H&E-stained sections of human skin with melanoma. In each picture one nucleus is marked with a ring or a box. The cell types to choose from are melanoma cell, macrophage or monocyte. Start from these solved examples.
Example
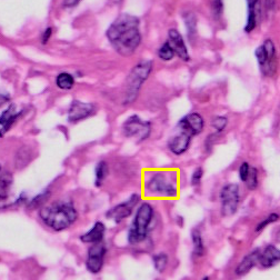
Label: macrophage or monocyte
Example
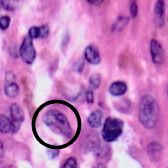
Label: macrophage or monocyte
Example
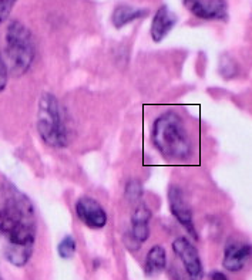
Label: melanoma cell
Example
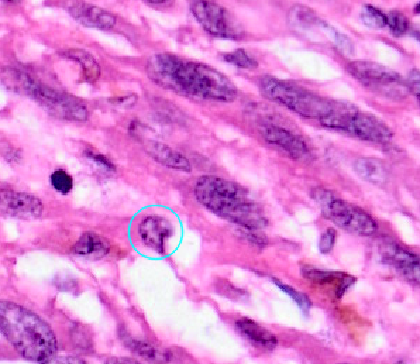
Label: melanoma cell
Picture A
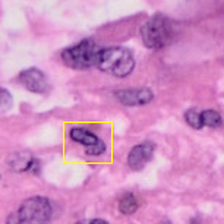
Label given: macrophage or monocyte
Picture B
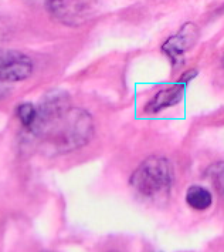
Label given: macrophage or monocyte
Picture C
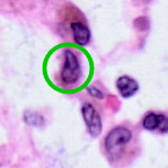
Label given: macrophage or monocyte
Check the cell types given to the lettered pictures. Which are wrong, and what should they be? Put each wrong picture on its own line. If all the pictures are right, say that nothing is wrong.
None of the labels needs changing.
